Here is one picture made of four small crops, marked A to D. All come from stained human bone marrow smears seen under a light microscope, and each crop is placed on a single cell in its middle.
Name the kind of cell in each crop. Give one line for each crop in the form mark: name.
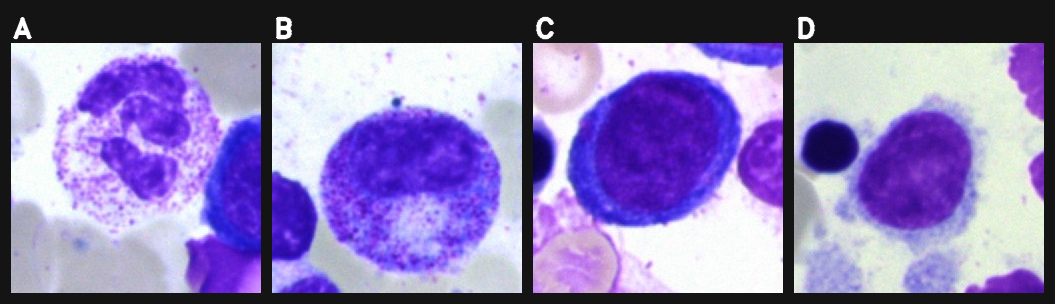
A: segmented neutrophil
B: myelocyte
C: proerythroblast
D: hairy cell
